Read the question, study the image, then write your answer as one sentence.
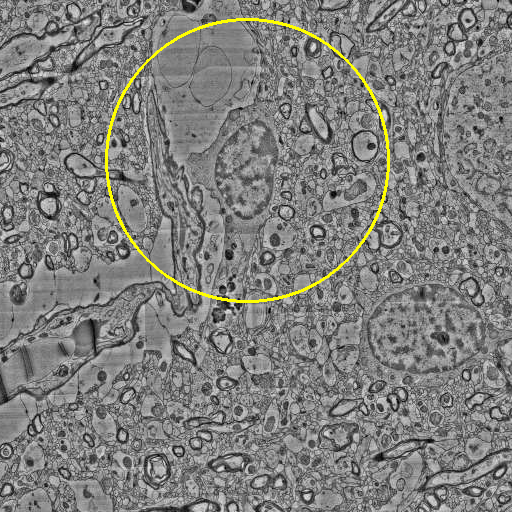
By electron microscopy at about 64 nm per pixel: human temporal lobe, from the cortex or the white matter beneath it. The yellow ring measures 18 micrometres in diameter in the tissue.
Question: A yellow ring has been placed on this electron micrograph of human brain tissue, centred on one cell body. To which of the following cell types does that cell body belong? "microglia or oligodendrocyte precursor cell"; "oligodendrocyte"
That cell body belongs to an oligodendrocyte.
